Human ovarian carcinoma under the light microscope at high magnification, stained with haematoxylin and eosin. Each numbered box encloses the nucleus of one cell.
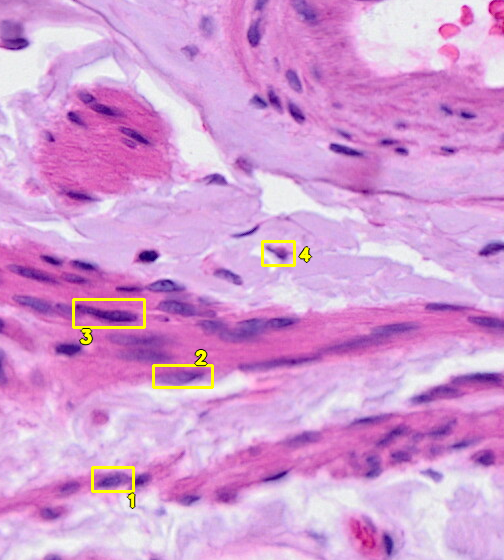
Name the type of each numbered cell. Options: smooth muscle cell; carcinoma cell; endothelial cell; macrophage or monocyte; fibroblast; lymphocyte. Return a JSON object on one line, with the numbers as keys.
{"1": "smooth muscle cell", "2": "smooth muscle cell", "3": "smooth muscle cell", "4": "fibroblast"}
